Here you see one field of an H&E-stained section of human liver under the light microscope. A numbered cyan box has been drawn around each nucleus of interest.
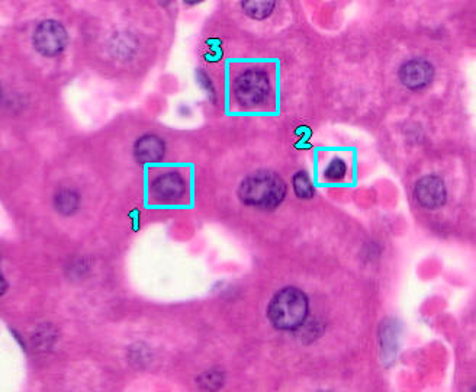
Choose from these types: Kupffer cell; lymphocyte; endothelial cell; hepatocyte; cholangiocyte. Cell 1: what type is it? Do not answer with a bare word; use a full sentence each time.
The cell that goes by number 1 is a hepatocyte.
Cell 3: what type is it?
The nucleus labeled 3 belongs to a hepatocyte.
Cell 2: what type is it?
Among the marked nuclei, number 2 belongs to a lymphocyte.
